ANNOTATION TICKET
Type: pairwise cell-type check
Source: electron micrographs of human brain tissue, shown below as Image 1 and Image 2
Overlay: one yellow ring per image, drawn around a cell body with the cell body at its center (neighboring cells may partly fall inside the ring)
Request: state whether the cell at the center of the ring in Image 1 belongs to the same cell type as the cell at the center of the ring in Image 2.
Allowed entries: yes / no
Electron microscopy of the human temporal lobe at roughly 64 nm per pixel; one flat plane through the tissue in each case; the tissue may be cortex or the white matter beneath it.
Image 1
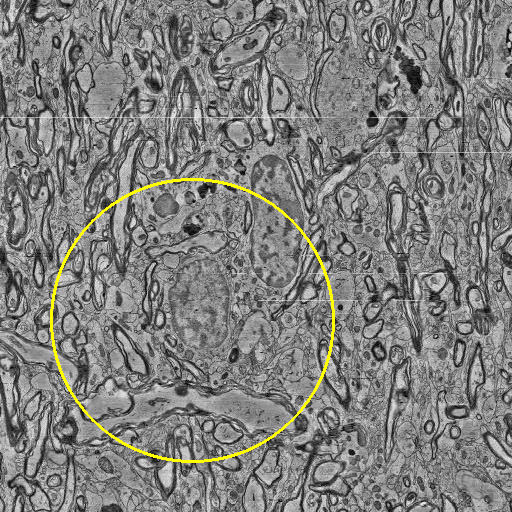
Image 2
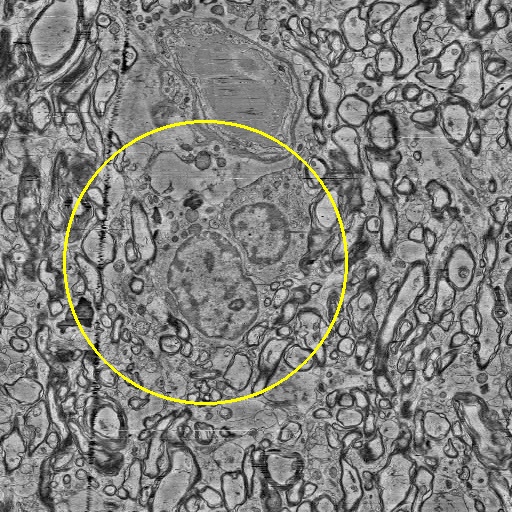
yes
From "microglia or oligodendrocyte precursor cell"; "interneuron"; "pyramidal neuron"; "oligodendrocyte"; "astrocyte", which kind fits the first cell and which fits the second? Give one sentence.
In the first picture and in the second, the ring is centred on an oligodendrocyte.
